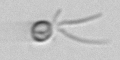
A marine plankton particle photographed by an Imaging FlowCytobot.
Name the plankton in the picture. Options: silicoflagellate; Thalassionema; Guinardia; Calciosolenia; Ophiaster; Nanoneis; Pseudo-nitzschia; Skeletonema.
Ophiaster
